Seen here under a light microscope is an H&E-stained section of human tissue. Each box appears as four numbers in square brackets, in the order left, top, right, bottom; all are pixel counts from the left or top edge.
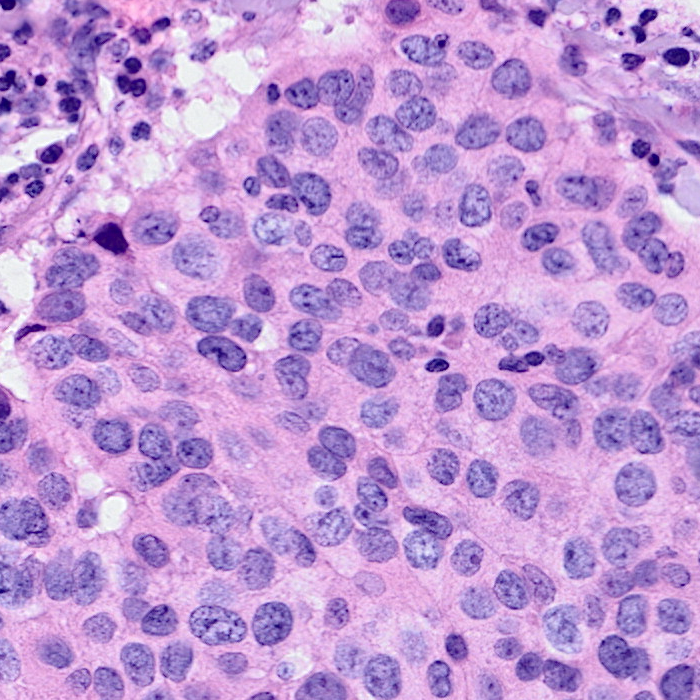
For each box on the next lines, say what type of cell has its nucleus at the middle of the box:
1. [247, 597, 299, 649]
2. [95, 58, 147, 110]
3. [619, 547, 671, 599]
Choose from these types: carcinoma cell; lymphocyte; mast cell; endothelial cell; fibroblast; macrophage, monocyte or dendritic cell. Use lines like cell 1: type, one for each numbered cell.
cell 1: carcinoma cell
cell 2: lymphocyte
cell 3: carcinoma cell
